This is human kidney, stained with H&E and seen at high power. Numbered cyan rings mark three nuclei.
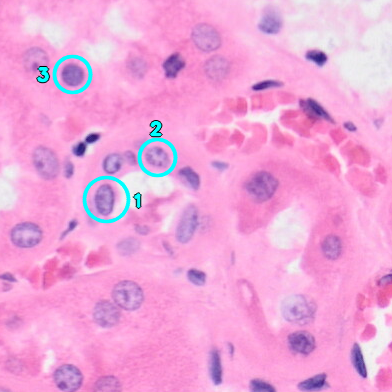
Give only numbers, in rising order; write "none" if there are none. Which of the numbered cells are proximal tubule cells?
3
